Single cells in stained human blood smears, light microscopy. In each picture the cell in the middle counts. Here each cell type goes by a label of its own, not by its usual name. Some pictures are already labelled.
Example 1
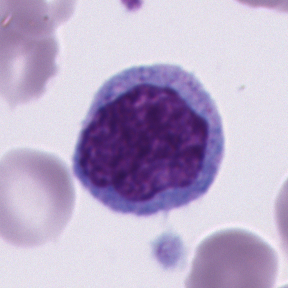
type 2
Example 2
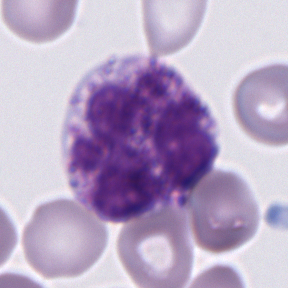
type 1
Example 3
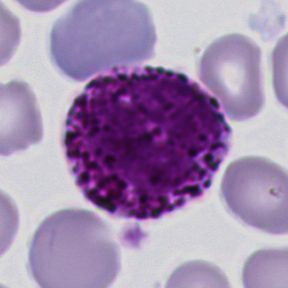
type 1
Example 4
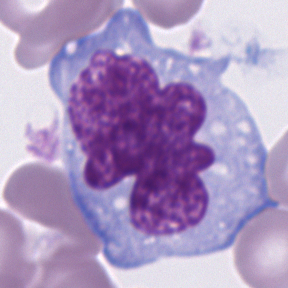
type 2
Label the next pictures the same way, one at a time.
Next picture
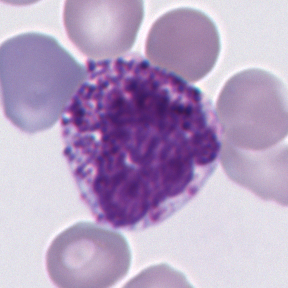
type 1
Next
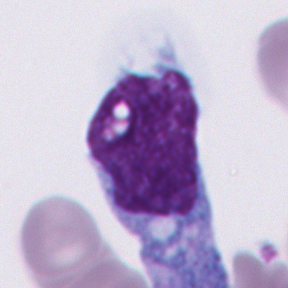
type 2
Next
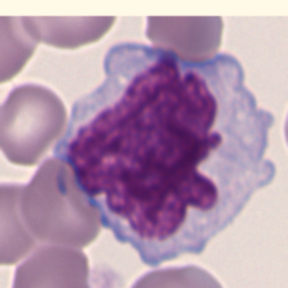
type 2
